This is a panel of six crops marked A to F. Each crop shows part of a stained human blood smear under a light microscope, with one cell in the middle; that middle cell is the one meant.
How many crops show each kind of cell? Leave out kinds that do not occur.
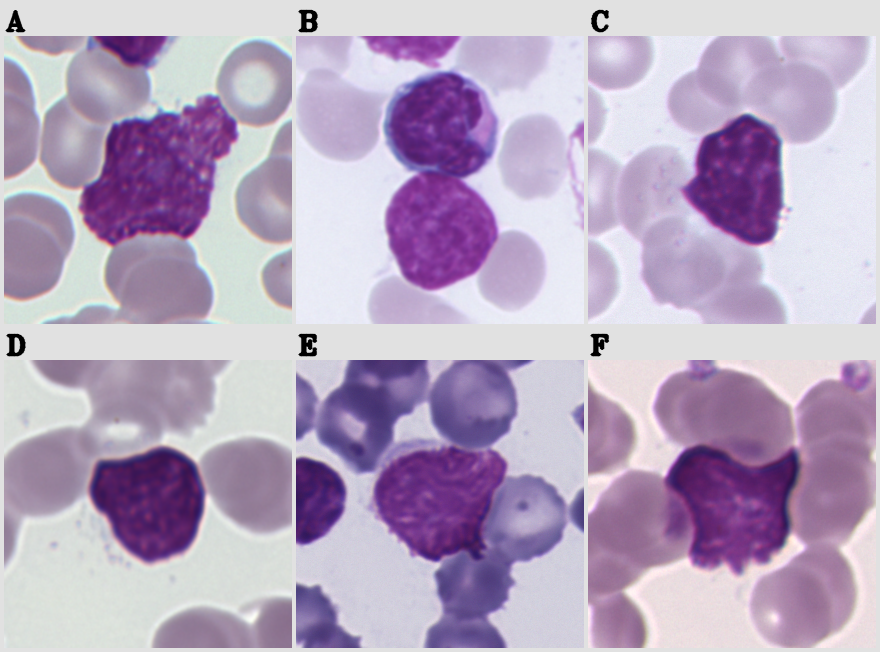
smudge cell: 4
myeloblast: 2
